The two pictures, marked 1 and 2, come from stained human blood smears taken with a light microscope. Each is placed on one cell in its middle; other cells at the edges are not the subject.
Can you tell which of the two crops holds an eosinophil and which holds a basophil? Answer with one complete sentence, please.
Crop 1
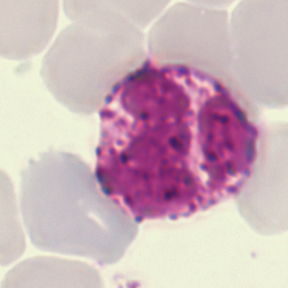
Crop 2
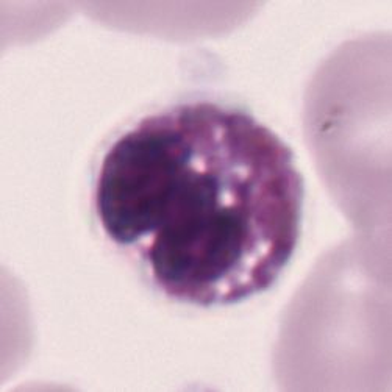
Crop 1 is a basophil, and crop 2 is an eosinophil.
